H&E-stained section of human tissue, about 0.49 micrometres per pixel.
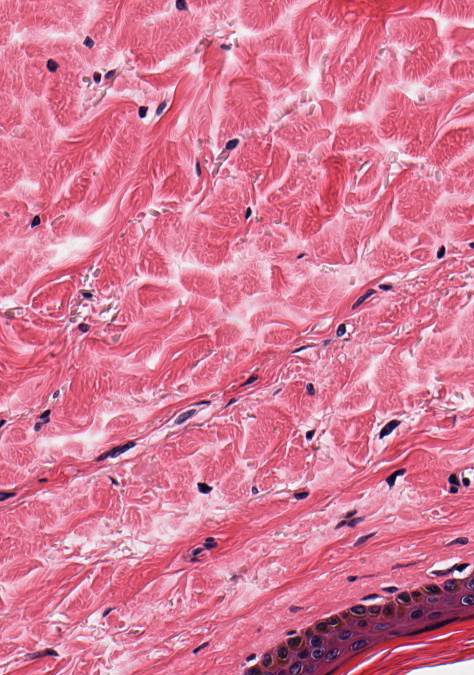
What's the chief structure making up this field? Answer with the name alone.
dermis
